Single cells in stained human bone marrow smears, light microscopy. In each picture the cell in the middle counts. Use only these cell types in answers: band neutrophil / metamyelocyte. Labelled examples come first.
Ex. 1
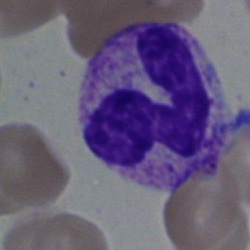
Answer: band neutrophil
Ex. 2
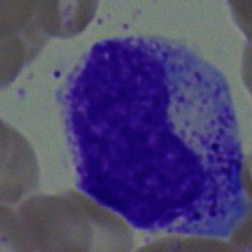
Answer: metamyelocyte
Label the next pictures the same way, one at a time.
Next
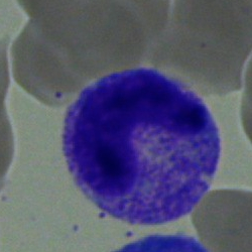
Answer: band neutrophil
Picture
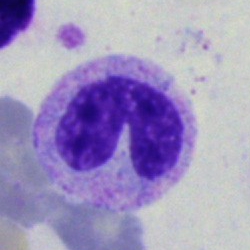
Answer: band neutrophil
